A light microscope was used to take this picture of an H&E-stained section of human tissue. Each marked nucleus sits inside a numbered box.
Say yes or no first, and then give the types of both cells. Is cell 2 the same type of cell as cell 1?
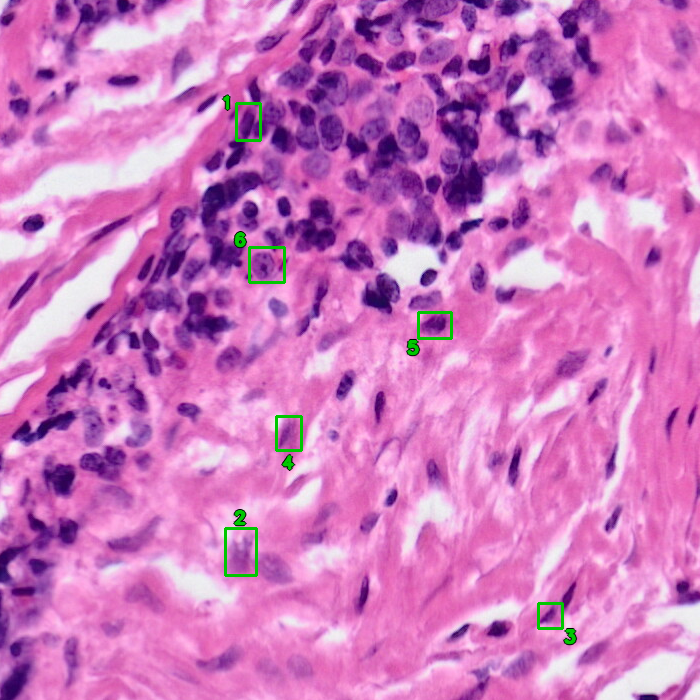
No, classify cell 2 as a fibroblast and cell 1 as a carcinoma cell.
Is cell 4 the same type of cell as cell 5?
Yes, cells 4 and 5 both count as fibroblasts.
